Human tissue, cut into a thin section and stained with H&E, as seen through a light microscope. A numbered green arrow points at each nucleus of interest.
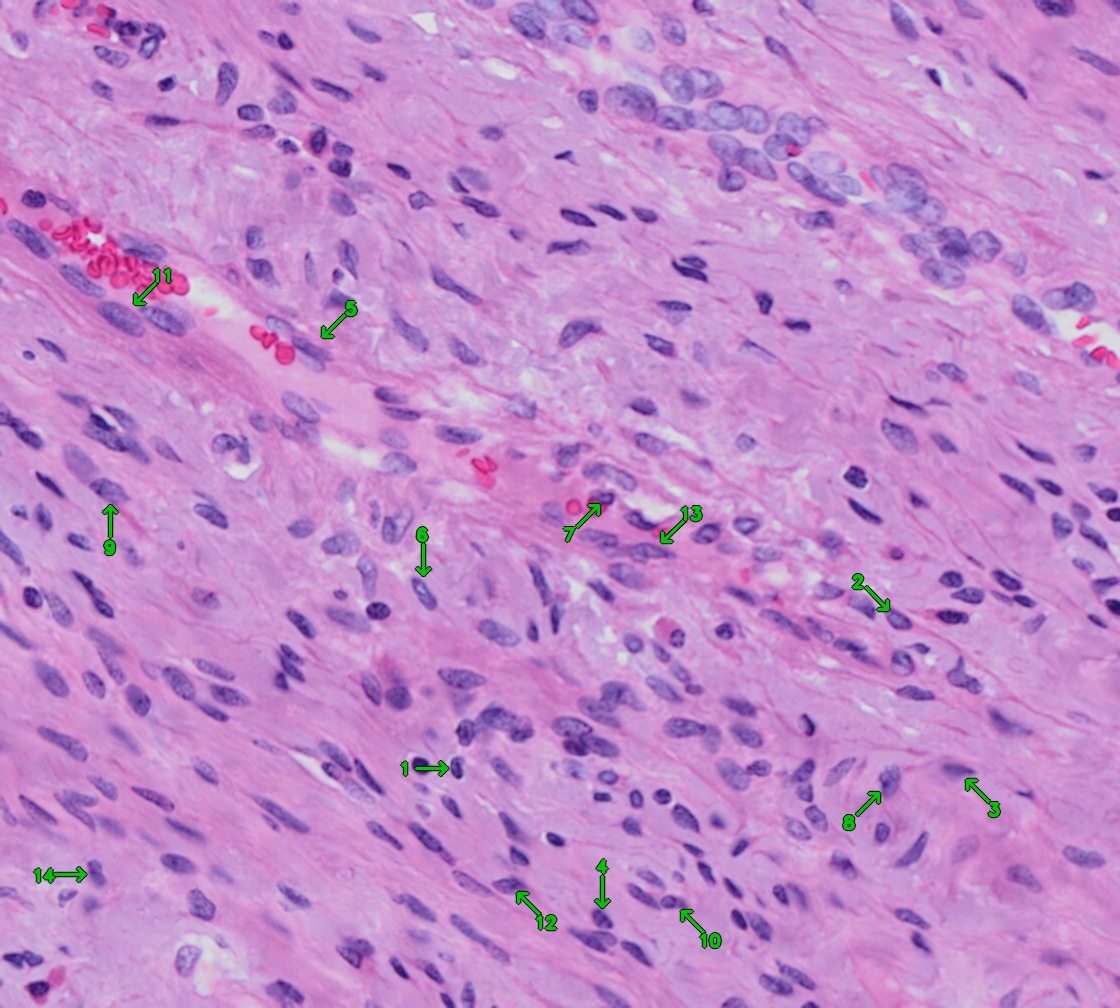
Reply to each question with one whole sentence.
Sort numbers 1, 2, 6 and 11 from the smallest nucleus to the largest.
From smallest to largest, the order is 1, 2, 6, 11.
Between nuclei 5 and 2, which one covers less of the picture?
The smaller nucleus is 2, and 5 covers roughly 1.5 times its area.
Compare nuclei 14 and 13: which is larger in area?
The larger nucleus is 13, at roughly 2.5 times the area of 14.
